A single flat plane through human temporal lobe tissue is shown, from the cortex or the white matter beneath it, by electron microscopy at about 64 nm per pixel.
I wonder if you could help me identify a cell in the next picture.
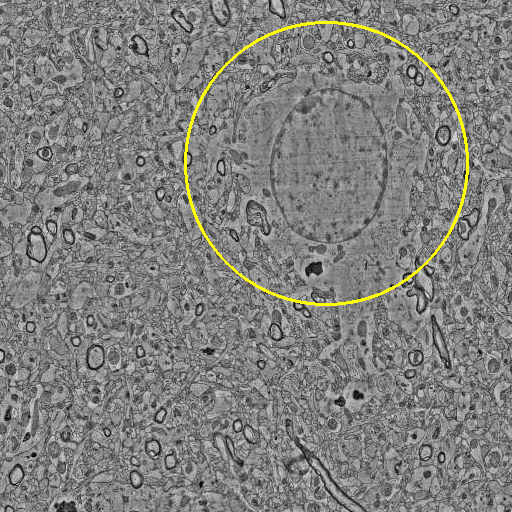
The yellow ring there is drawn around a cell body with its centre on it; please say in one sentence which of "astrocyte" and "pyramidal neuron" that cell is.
The yellow ring is centred on an astrocyte.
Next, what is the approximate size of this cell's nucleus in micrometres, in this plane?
About 10 micrometres by about 7 micrometres in this plane.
